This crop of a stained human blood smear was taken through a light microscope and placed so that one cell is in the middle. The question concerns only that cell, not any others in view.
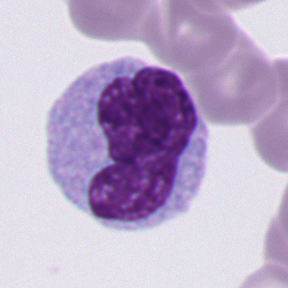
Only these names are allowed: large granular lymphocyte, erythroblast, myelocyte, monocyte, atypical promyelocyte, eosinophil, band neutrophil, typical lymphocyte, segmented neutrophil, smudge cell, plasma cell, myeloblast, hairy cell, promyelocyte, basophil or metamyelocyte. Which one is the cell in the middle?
monocyte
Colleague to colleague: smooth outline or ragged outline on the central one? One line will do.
Smooth outline, no projections: that is the whole story of its edge.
